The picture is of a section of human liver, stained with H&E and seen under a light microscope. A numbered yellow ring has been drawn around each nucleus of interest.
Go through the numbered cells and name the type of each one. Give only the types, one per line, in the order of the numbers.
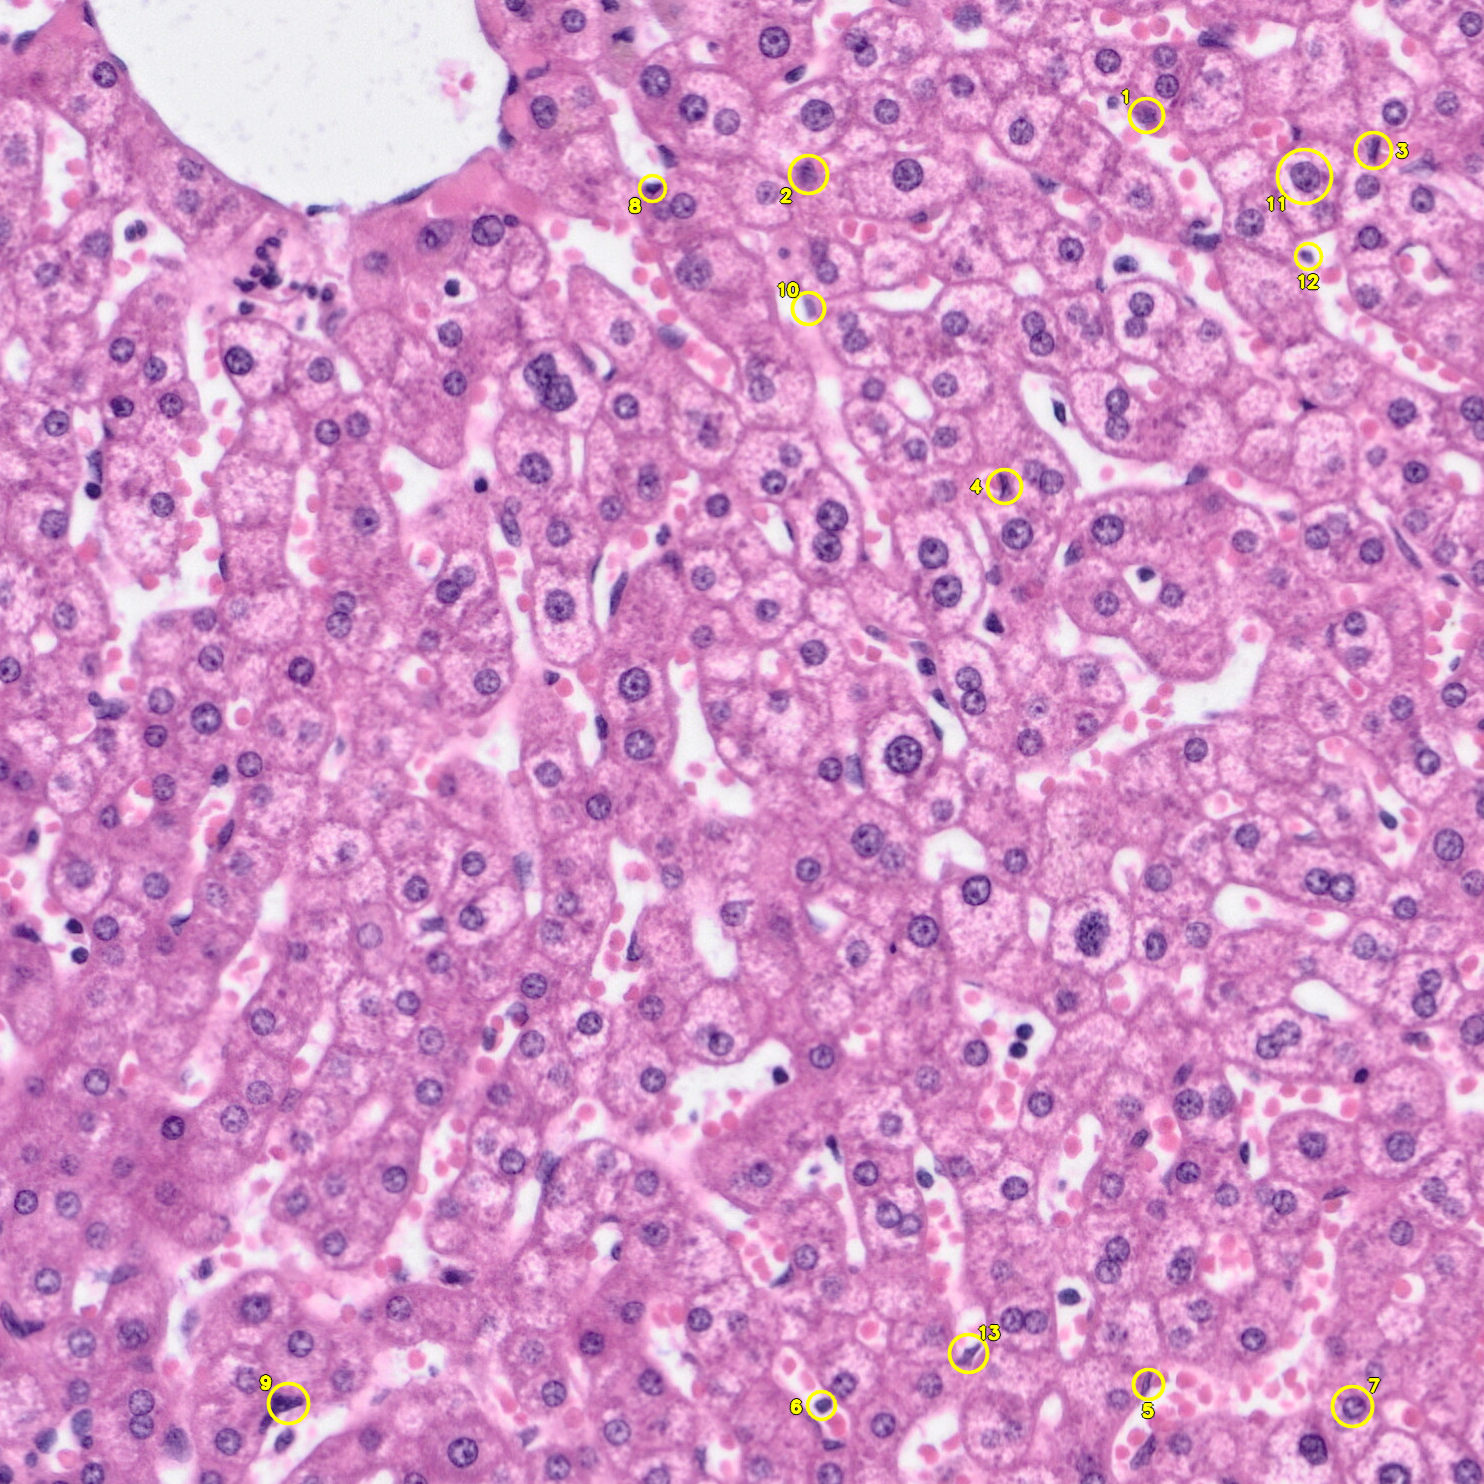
Kupffer cell
endothelial cell
endothelial cell
endothelial cell
endothelial cell
lymphocyte
hepatocyte
fibroblast or stellate cell
fibroblast or stellate cell
endothelial cell
hepatocyte
lymphocyte
endothelial cell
